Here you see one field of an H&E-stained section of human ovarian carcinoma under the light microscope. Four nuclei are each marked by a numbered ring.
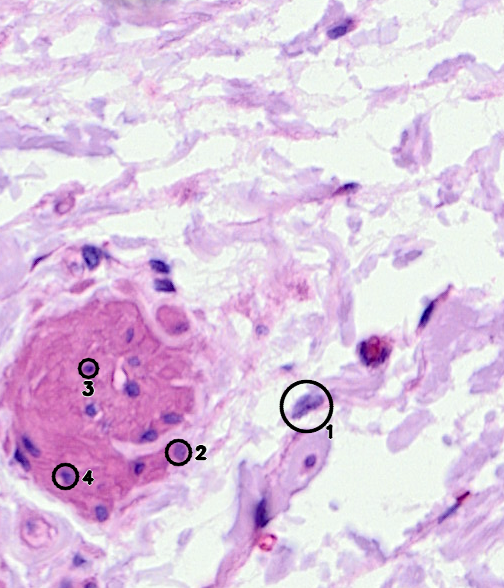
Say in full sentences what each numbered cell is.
Cell 1 is a fibroblast, cell 2 is a smooth muscle cell, cell 3 is a smooth muscle cell and cell 4 is a smooth muscle cell.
